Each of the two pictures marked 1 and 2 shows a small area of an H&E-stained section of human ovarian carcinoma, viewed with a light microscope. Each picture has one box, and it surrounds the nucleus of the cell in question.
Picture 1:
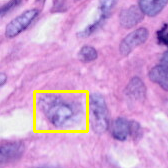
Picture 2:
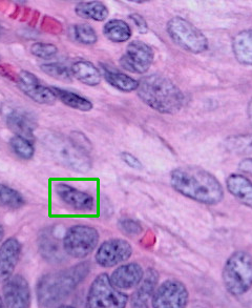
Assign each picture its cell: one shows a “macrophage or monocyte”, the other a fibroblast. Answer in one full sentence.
The cell in picture 1 is a fibroblast, and the one in picture 2 is a “macrophage or monocyte”.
